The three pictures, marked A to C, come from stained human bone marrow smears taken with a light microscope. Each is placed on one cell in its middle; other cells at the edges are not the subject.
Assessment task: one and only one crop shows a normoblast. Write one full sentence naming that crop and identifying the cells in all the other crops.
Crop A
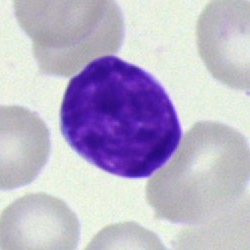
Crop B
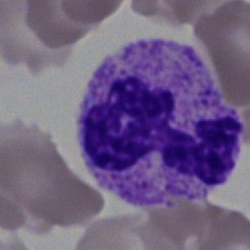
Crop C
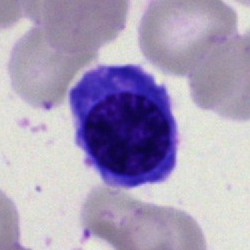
What crop C shows is a normoblast, while crop A is a blast and crop B is a neutrophil.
